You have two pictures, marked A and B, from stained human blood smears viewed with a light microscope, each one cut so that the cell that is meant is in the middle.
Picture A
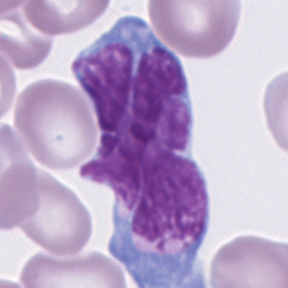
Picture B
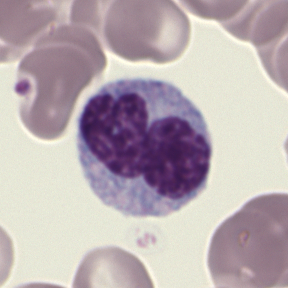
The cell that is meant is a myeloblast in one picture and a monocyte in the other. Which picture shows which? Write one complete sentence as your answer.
It is picture A that shows a myeloblast, and picture B that shows a monocyte.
